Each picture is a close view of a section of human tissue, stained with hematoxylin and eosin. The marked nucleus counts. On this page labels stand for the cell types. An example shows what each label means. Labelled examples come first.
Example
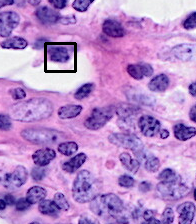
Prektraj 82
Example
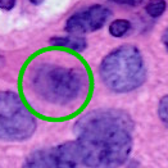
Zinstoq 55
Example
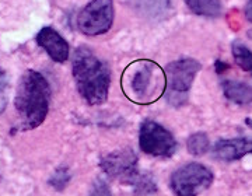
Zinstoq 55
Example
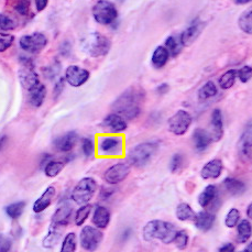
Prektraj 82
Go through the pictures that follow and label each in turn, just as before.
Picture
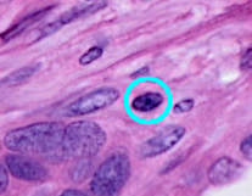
Prektraj 82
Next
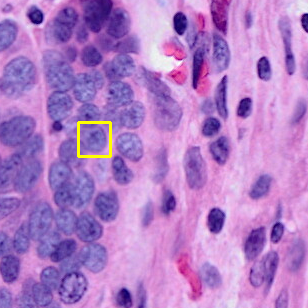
Zinstoq 55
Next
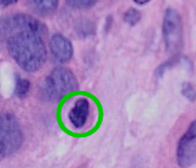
Prektraj 82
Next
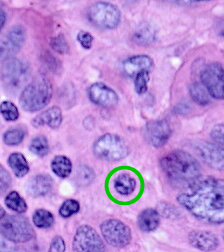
Prektraj 82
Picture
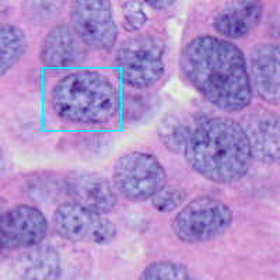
Zinstoq 55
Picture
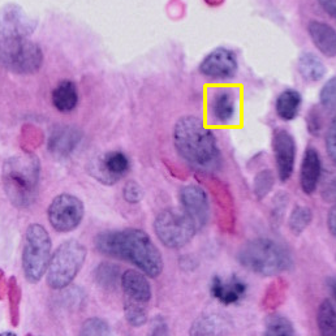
Prektraj 82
